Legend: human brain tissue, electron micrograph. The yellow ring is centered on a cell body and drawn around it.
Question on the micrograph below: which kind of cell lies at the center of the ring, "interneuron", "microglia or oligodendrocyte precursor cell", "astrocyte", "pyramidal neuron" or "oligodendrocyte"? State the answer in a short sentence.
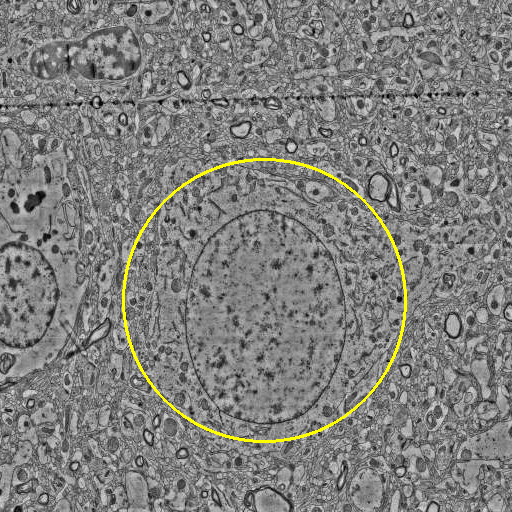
At the center of the ring lies a pyramidal neuron.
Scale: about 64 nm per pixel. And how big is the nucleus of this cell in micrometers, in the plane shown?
The nucleus has a long axis of about 14 micrometres and a short axis of about 10 micrometres in this plane.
